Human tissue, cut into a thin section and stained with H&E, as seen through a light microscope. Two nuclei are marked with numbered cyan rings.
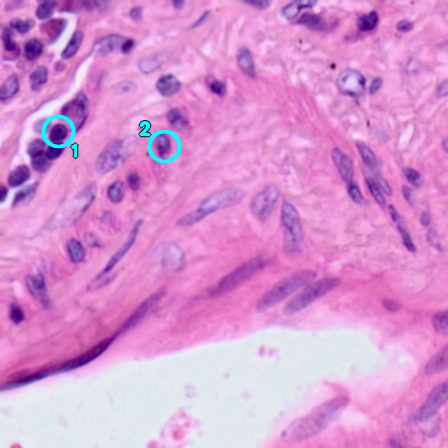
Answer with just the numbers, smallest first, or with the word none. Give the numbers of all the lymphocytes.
1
